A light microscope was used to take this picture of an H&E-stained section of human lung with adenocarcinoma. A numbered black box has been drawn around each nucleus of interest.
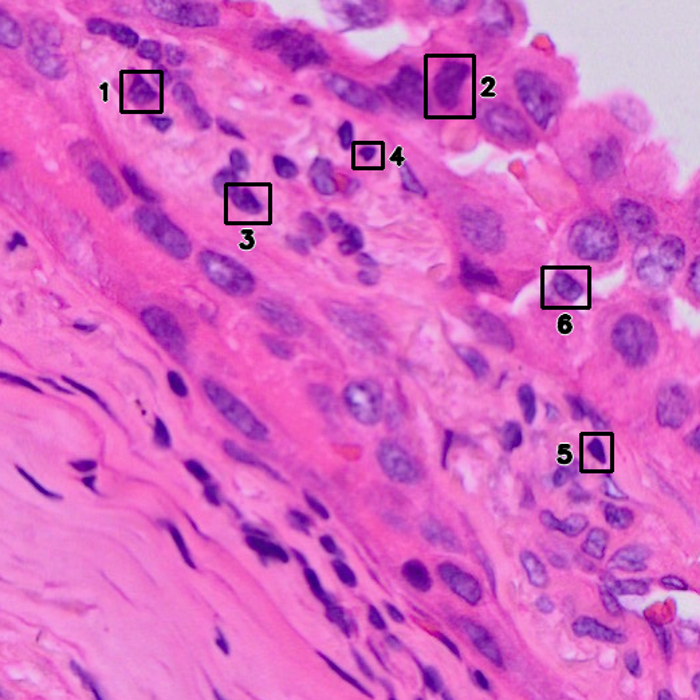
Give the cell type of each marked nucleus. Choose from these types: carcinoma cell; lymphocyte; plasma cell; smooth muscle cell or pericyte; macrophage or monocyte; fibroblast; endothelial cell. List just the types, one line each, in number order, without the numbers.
plasma cell
carcinoma cell
lymphocyte
lymphocyte
lymphocyte
lymphocyte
